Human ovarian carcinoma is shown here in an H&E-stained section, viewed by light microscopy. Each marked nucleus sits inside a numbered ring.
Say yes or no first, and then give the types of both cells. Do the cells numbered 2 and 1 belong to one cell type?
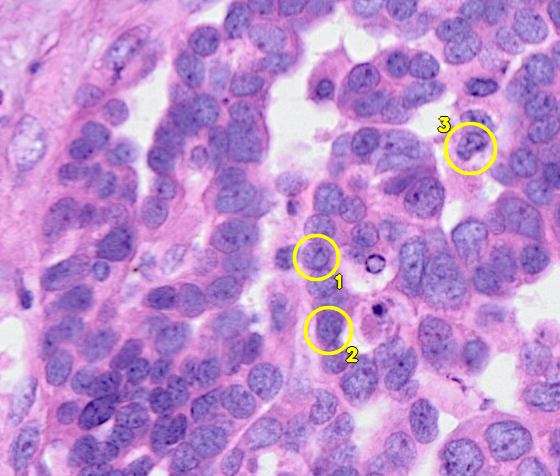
Yes, both are carcinoma cells.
